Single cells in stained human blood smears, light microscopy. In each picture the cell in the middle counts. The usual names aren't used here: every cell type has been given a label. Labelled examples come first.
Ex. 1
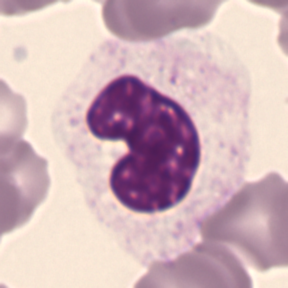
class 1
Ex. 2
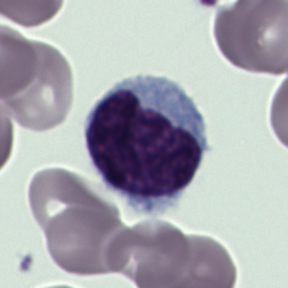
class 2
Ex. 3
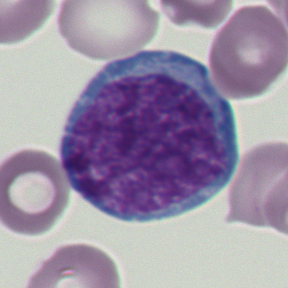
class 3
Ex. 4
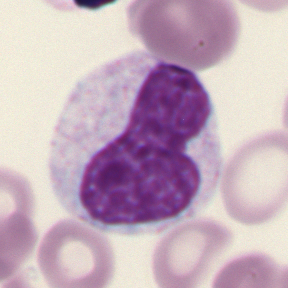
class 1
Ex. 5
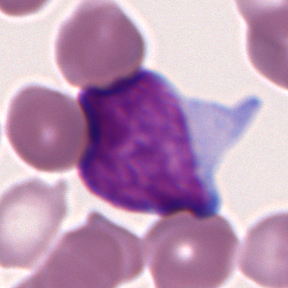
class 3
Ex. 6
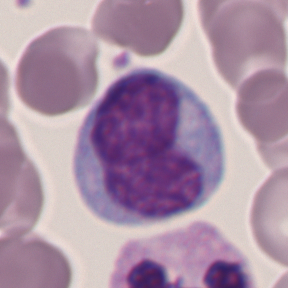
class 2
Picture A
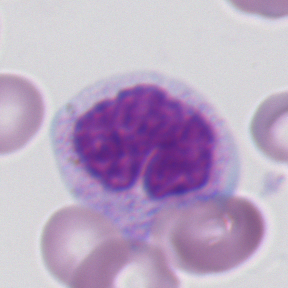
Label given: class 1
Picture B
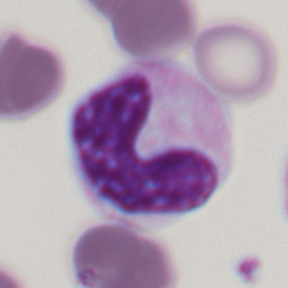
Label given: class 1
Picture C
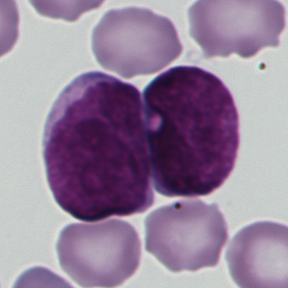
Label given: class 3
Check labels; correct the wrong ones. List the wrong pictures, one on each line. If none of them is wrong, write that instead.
Nothing to fix; every label fits.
